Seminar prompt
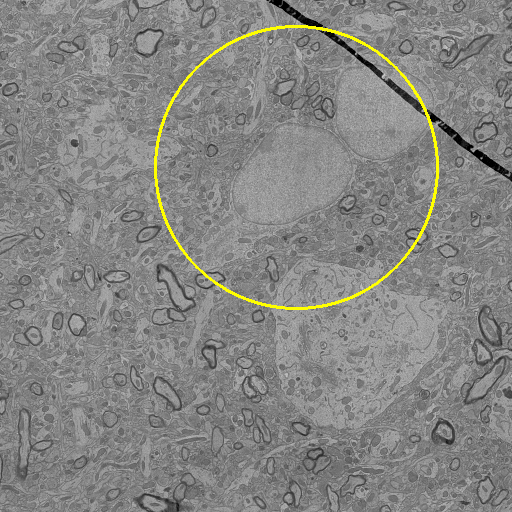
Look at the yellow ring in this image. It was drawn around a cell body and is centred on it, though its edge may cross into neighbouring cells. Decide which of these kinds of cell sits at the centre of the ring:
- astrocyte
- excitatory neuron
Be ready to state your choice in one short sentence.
The kind of cell at the ring's centre is an astrocyte.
